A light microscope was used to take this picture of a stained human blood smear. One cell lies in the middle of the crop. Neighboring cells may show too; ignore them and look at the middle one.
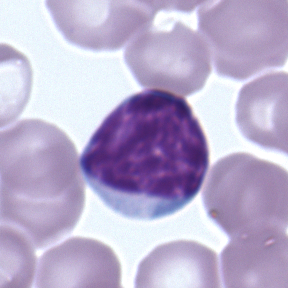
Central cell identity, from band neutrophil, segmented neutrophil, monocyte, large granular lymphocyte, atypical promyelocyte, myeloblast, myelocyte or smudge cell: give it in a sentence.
Where the crop is centred, there is a myeloblast.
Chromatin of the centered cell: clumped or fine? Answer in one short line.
Just so you know, its chromatin is coarsely clumped.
